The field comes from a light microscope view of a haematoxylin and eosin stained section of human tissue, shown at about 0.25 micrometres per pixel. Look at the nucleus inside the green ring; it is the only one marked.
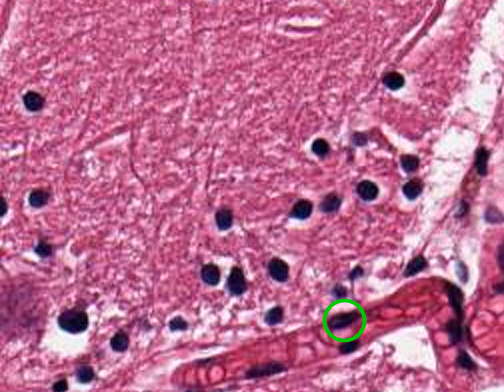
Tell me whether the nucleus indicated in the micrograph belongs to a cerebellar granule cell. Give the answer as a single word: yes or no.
no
